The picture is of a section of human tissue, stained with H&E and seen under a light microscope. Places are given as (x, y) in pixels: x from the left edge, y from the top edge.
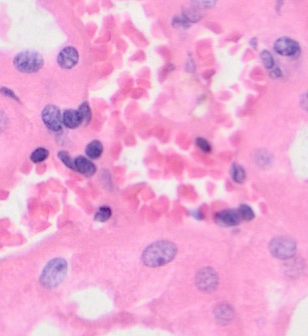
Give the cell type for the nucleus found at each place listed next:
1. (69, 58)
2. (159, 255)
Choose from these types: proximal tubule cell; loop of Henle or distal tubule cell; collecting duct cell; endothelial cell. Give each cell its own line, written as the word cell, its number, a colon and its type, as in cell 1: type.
cell 1: loop of Henle or distal tubule cell
cell 2: proximal tubule cell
